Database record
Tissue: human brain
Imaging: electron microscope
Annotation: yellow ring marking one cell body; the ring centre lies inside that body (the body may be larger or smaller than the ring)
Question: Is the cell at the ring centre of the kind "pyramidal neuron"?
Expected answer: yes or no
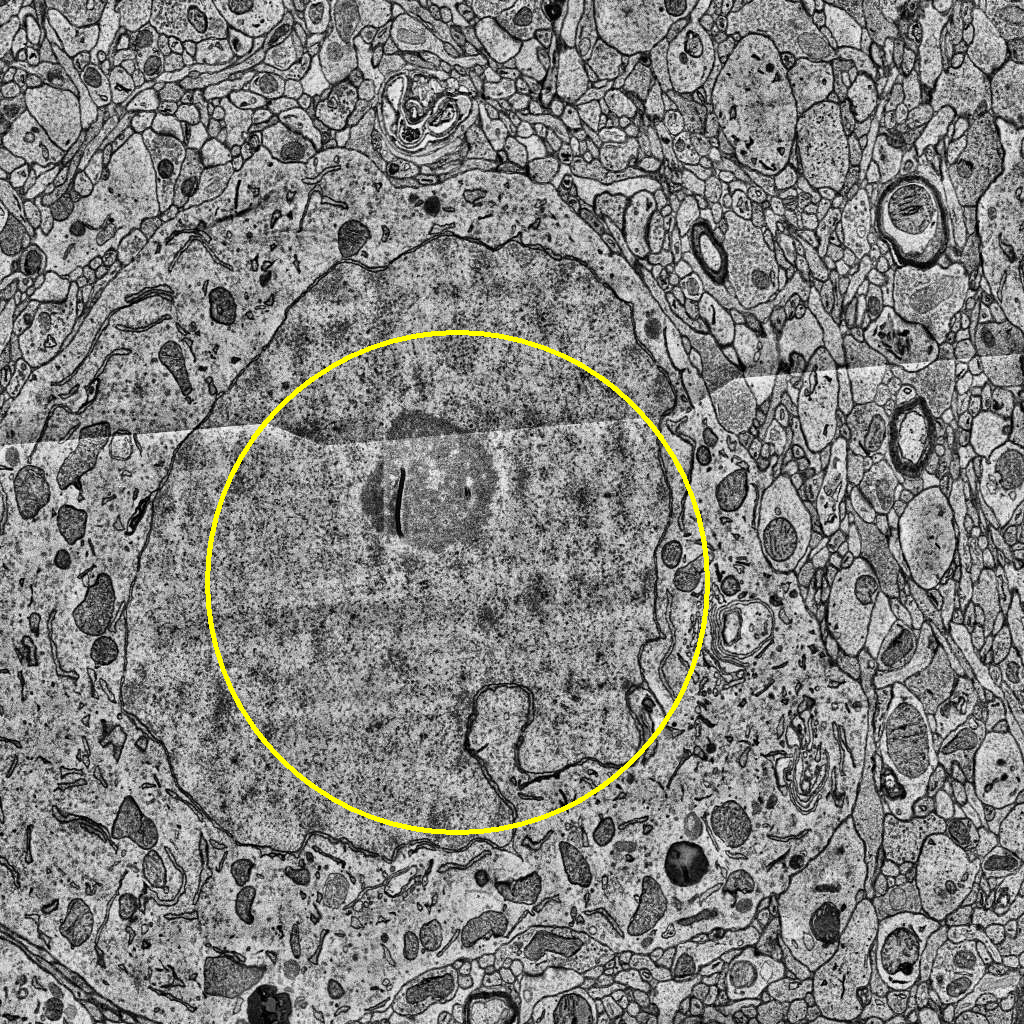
no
